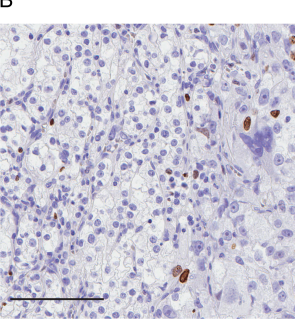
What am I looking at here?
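Tumour tissue with two growth patterns. On the left, cells have clear, empty-looking cytoplasm, distinct cell borders and small, round, blue nuclei. Scattered nuclei are stained brown, and these lie more often among the larger cells on the right than among the clear cells on the left. Small, elongated nuclei between the tumour cells mark a delicate stroma.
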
